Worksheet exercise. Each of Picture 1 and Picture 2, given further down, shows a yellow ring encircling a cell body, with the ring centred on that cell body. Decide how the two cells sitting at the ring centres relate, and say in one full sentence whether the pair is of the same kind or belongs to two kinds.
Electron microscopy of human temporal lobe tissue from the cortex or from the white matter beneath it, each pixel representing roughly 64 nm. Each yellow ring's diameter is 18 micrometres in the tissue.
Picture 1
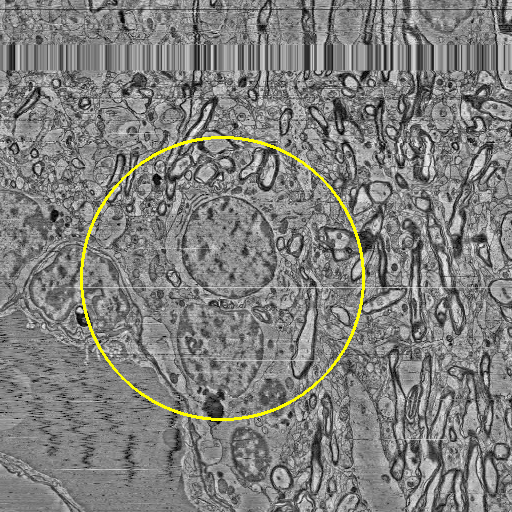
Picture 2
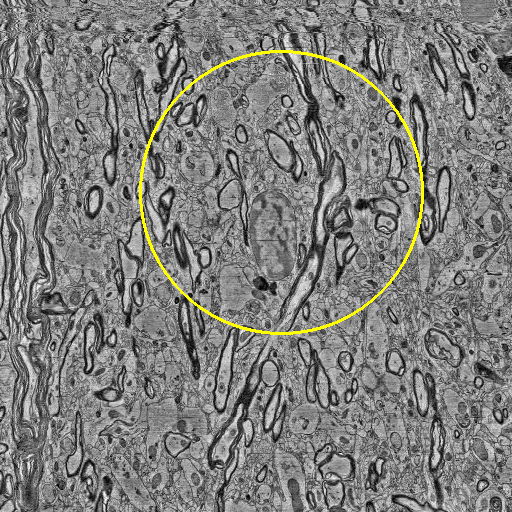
The cells at the ring centres in Picture 1 and Picture 2 are of the same kind.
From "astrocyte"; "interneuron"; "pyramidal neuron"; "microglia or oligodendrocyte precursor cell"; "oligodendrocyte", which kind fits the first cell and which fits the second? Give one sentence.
Each cell at the centre of a ring is a microglial cell or oligodendrocyte precursor cell.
